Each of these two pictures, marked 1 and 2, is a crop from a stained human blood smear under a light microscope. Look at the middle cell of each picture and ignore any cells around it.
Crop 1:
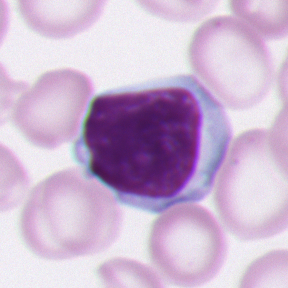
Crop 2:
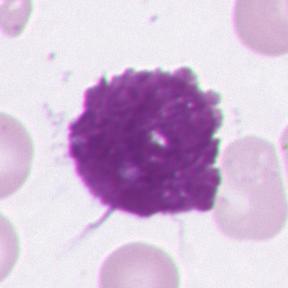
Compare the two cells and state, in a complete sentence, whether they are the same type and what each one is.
No, crop 1 gives us a typical lymphocyte and crop 2 gives us a smudge cell.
